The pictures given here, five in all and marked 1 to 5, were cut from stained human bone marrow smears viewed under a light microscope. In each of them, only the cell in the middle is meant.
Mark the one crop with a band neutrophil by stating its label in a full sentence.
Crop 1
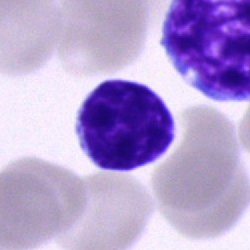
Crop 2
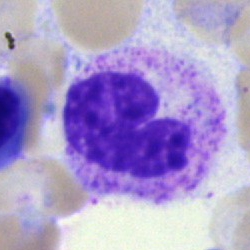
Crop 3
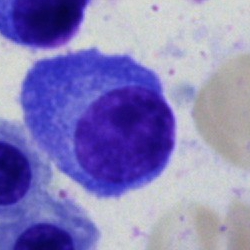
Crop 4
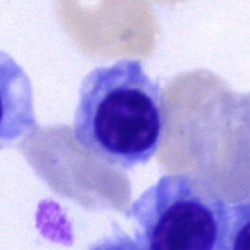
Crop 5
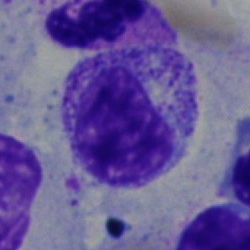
Crop 2, and no other, is the one that shows a band neutrophil.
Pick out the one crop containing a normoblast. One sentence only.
Crop 4 is where a normoblast is shown.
